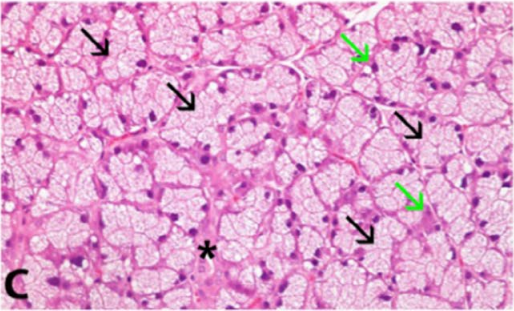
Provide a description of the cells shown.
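Gland tissue is packed with rounded secretory units whose cells have pale, foamy, finely vacuolated cytoplasm and dark flattened nuclei pushed to the base. Thin pink strands of connective tissue separate the units, giving a mesh-like pattern. At the outer border of some units lie small dark, flattened nuclei hugging the acinus. Here and there pinker regions with denser cells stand between the pale units.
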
